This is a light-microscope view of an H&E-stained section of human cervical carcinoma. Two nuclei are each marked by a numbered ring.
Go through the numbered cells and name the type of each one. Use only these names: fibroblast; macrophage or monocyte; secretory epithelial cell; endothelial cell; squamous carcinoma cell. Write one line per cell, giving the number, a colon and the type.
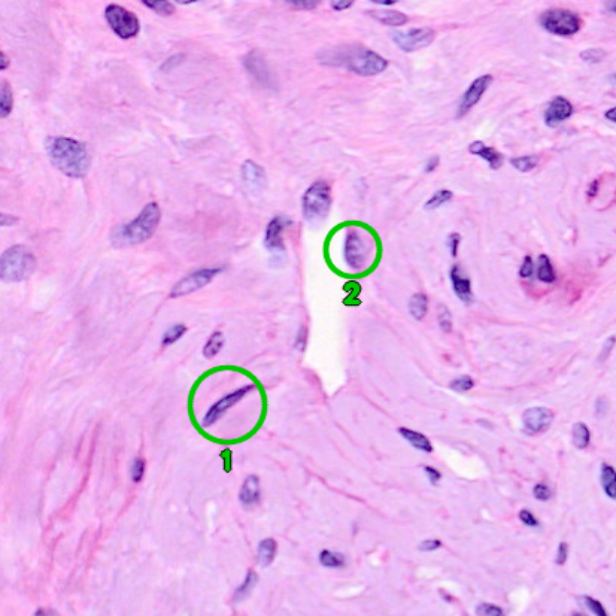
1: fibroblast
2: endothelial cell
